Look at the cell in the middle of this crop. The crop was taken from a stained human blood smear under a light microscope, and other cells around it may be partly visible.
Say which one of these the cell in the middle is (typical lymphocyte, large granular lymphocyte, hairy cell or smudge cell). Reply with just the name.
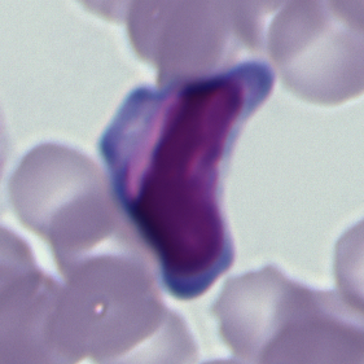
typical lymphocyte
